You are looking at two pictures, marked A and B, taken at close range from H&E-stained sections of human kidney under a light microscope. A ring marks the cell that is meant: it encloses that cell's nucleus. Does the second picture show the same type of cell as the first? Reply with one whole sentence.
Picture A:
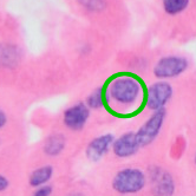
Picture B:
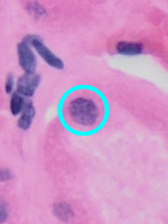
No, they differ: the cell is a collecting duct cell in picture A and a proximal tubule cell in picture B.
